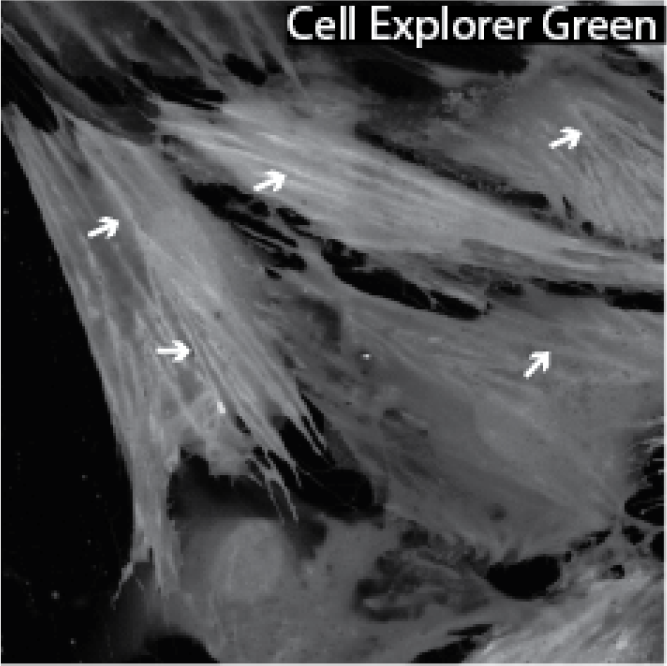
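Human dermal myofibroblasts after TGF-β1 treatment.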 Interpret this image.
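Fine bright linear ridges run in parallel along the long axis of the cells, fanning toward the tapered ends. Nuclei show as slightly brighter ovals, and the cell margins are frayed with spiky extensions, with dark gaps between neighbouring cells.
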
